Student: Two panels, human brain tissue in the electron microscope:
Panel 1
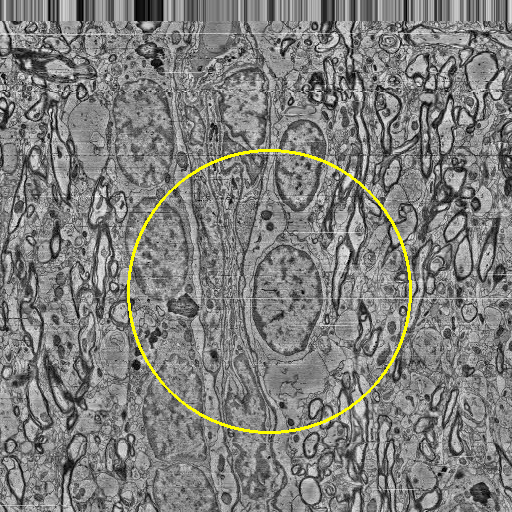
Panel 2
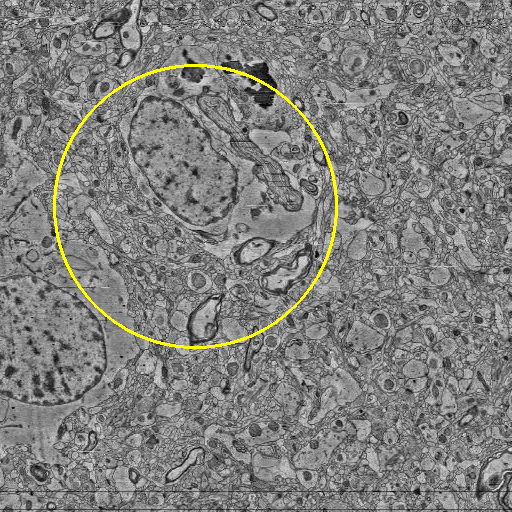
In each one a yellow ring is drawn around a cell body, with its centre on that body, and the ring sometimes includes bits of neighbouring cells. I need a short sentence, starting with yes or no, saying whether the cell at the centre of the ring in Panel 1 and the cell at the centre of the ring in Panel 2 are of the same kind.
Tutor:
Yes, they are the same kind of cell.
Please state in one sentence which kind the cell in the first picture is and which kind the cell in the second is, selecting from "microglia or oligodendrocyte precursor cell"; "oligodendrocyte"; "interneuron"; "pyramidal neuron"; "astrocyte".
In both pictures the ring is centred on a microglial cell or oligodendrocyte precursor cell.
